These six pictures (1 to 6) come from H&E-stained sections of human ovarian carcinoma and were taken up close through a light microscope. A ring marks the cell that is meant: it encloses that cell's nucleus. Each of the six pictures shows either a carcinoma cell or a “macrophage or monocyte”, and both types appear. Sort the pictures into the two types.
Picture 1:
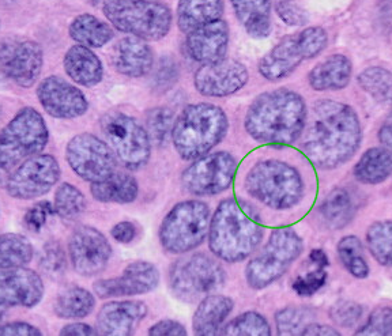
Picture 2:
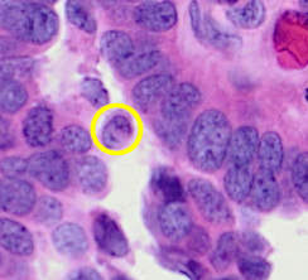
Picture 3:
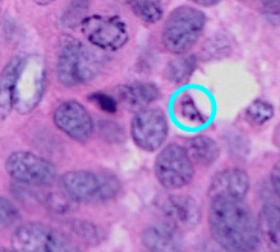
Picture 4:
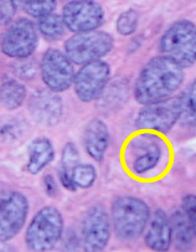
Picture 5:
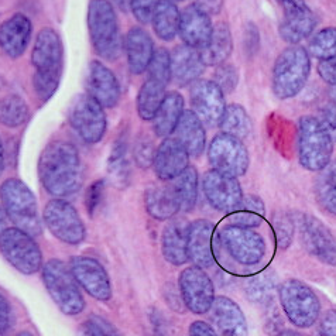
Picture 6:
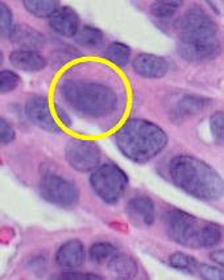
1: carcinoma cell
2: macrophage or monocyte
3: macrophage or monocyte
4: macrophage or monocyte
5: carcinoma cell
6: carcinoma cell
